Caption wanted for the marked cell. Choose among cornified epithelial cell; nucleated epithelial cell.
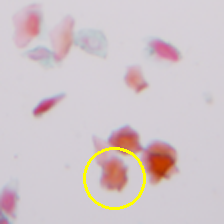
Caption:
Ringed in yellow is a cornified epithelial cell.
